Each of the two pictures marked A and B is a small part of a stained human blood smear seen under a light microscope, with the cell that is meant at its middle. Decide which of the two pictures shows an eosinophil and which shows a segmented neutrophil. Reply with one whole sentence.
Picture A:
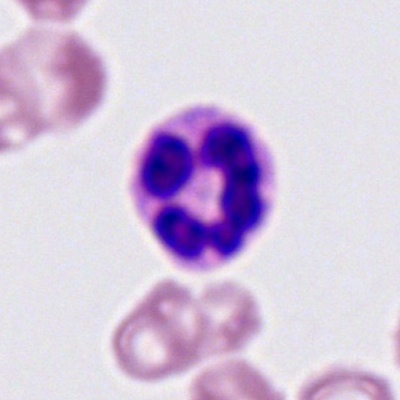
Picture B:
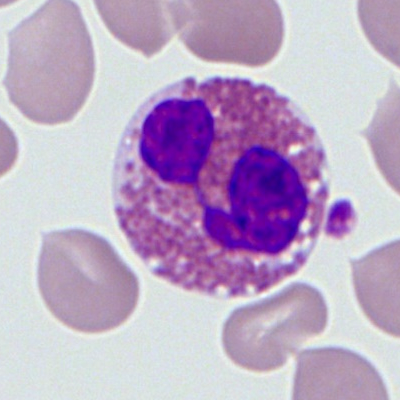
Picture A is of a segmented neutrophil, and picture B is of an eosinophil.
